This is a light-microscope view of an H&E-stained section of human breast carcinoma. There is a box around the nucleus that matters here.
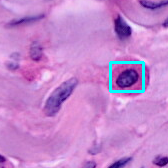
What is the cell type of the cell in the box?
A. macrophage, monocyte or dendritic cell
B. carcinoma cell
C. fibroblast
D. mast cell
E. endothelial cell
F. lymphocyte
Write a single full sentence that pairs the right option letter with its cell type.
Option D is correct in that the cell in the box is a mast cell.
